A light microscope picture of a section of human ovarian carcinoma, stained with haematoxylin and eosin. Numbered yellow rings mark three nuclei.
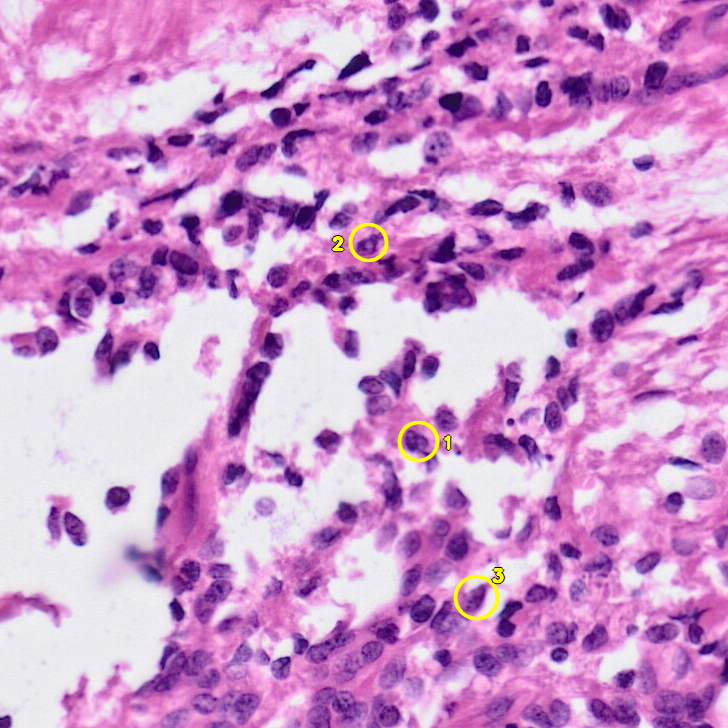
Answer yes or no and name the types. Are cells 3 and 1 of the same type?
No, just to clarify, cell 3 is a carcinoma cell and cell 1 is a macrophage or monocyte.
